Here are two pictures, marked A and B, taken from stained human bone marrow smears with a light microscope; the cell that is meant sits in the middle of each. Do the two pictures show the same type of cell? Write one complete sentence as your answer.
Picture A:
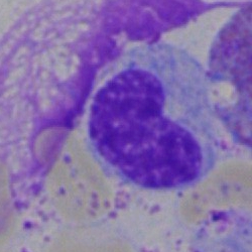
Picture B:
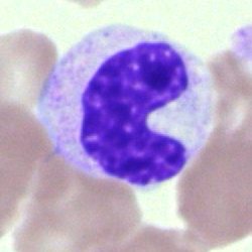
Yes; the cells in both pictures are band neutrophils.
